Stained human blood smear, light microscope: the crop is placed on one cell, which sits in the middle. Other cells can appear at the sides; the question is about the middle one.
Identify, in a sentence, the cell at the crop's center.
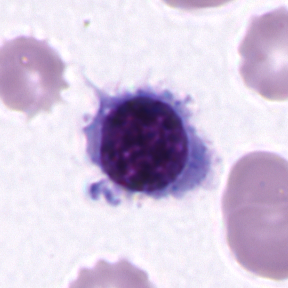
The cell at the heart of this crop is a plasma cell.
